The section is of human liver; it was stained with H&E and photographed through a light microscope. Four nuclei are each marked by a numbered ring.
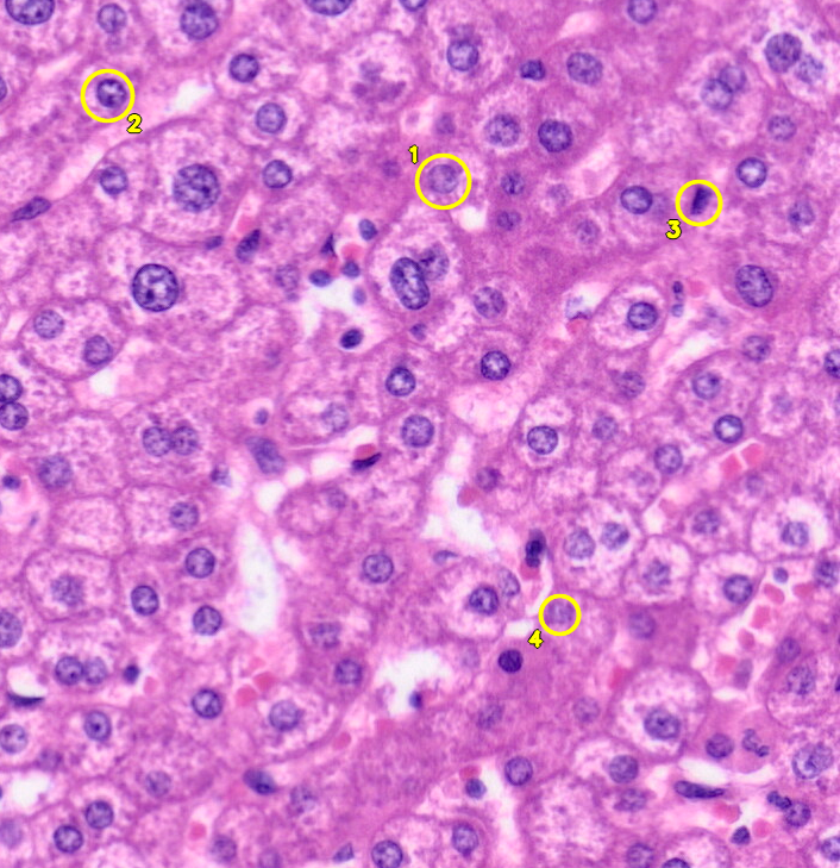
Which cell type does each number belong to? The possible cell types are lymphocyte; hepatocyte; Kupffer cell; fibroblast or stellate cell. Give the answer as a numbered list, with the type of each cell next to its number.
1. hepatocyte
2. hepatocyte
3. fibroblast or stellate cell
4. hepatocyte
